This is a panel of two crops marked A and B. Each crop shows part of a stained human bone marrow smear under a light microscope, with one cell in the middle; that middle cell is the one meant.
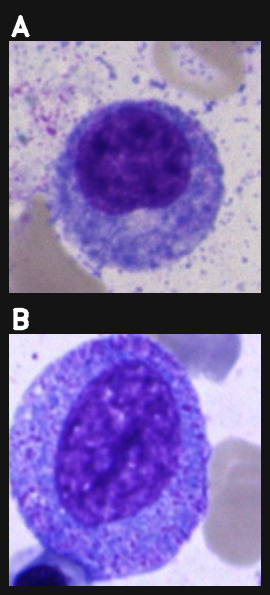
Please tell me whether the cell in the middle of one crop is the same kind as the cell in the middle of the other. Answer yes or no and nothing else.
yes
